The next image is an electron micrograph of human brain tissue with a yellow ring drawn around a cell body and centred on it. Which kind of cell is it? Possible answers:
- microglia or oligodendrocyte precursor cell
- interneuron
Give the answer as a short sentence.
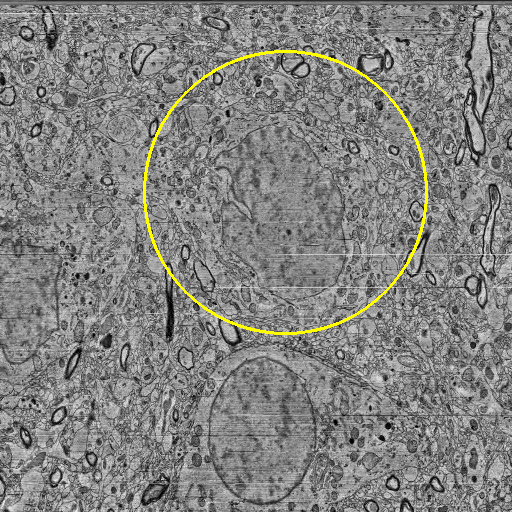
In the ring's centre is an interneuron.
